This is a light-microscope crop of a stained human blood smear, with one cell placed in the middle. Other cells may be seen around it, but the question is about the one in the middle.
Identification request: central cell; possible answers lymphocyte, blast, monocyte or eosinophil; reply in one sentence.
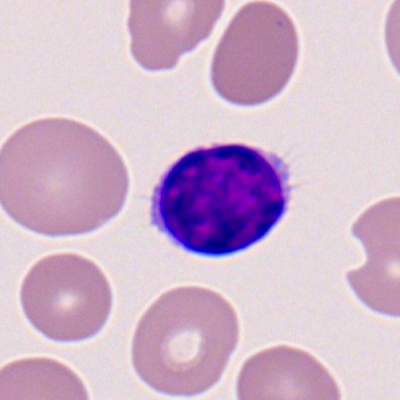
The central cell shown in this smear crop is a lymphocyte.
